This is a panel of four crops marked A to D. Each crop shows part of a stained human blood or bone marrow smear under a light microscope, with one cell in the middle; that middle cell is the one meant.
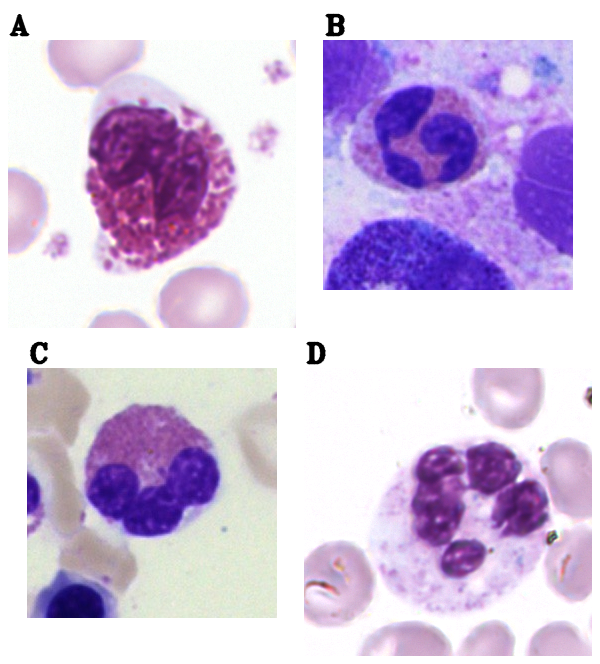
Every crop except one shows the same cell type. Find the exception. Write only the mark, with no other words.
D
